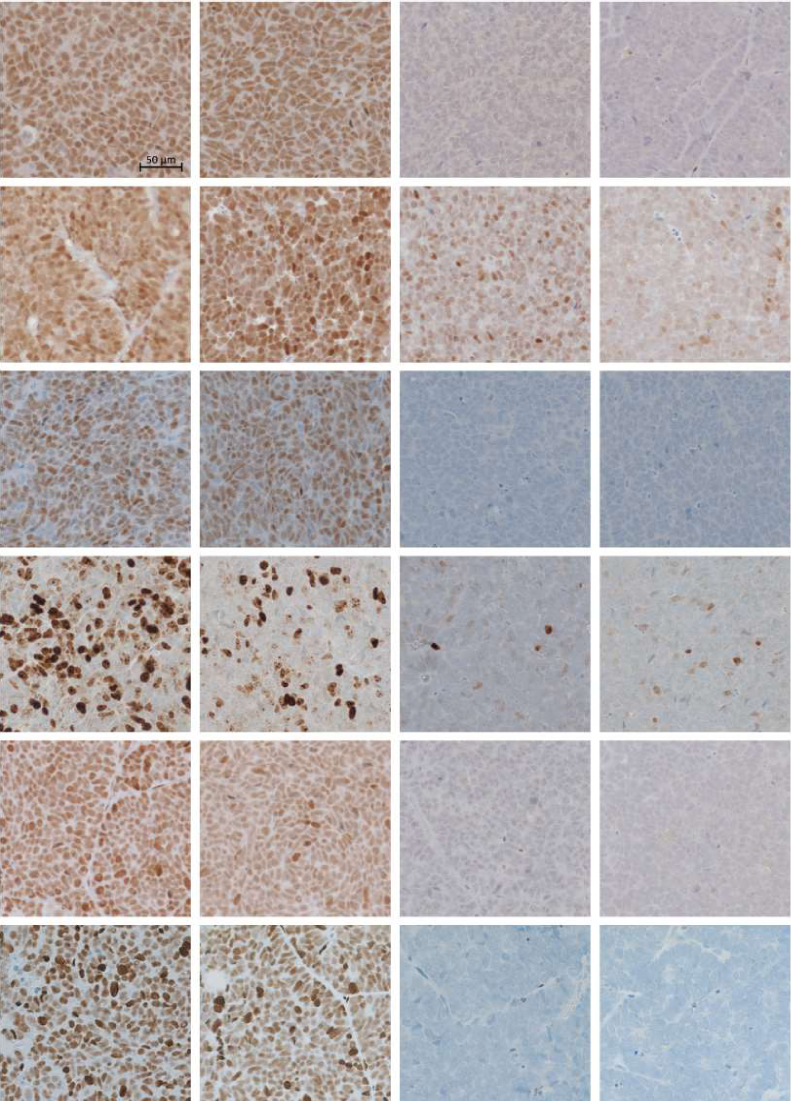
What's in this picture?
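In most rows the two left fields show brown staining over the nuclei of nearly every cell, while the two right fields are largely pale blue or lightly tinted from the counterstain, with little or no brown. In one row the brown stain is confined to scattered, strongly stained nuclei, which are numerous in the left fields and sparse in the right ones. A few thin strands of paler connective tissue run between the cell sheets in some fields.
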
